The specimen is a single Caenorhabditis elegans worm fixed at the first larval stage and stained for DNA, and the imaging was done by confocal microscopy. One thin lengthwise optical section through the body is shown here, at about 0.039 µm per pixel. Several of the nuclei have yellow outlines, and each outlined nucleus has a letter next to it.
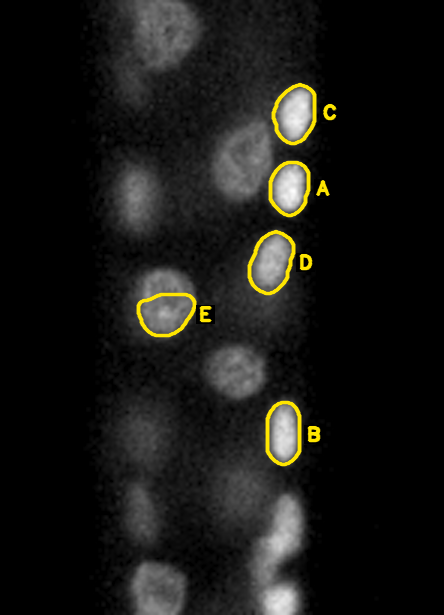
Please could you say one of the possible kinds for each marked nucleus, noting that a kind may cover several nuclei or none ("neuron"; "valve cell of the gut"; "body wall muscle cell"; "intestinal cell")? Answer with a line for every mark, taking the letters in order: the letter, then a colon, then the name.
A: neuron
B: neuron
C: neuron
D: body wall muscle cell
E: intestinal cell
